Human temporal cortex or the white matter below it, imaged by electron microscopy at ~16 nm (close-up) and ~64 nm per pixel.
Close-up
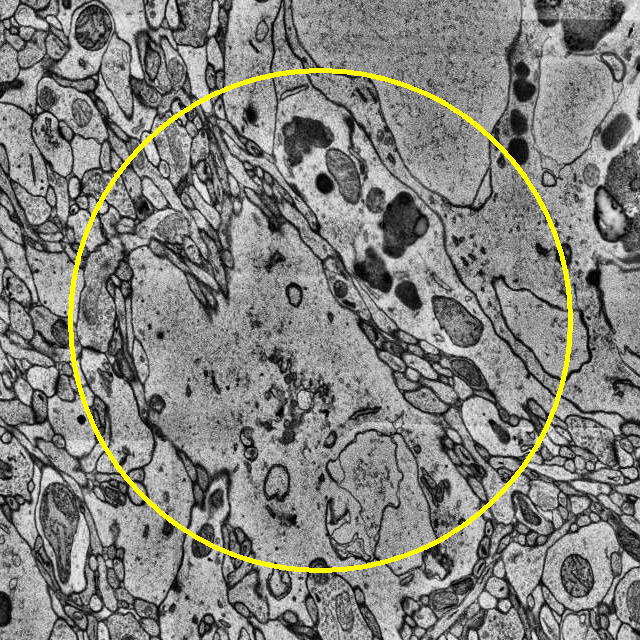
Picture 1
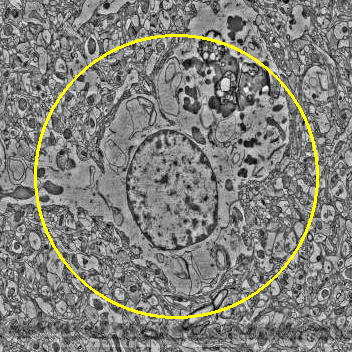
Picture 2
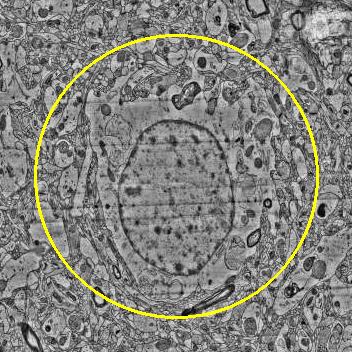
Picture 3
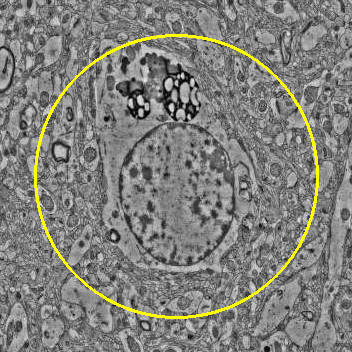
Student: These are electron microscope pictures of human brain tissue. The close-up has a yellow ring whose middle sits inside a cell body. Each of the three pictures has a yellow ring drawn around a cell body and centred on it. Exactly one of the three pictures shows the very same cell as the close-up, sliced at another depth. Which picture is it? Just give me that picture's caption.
Picture 1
